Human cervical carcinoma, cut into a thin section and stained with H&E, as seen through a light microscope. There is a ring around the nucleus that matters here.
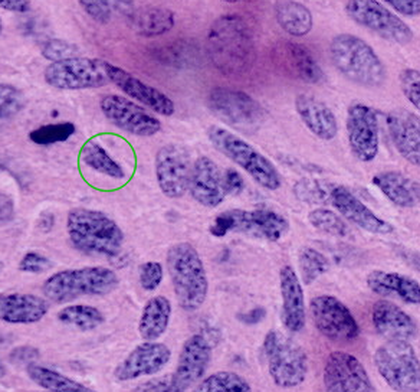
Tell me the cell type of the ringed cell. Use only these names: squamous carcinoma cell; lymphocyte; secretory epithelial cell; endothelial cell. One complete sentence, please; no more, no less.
As a matter of cell type, the ringed cell is a squamous carcinoma cell.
